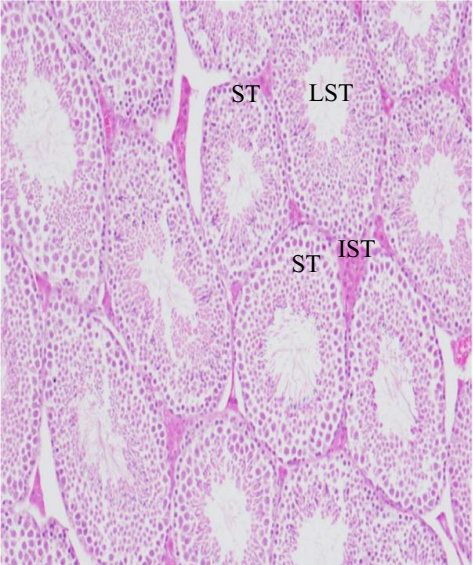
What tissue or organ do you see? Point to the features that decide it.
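Many round tubule cross sections packed together. Stratified cellular epithelium lines each tubule. Lumina contain pale filamentous tails.
Hence: testes.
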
